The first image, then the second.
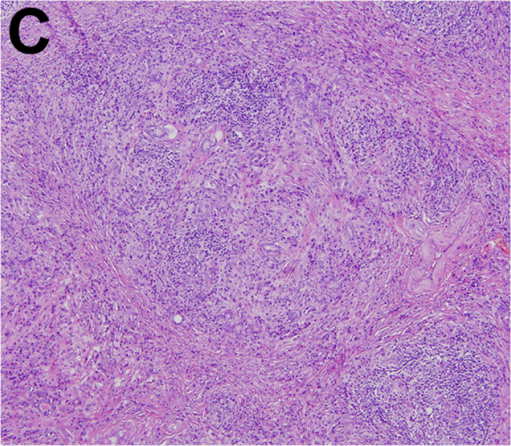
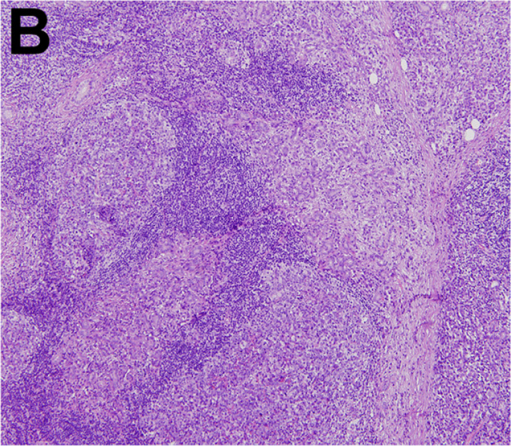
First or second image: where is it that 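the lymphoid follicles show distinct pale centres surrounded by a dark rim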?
The second image.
